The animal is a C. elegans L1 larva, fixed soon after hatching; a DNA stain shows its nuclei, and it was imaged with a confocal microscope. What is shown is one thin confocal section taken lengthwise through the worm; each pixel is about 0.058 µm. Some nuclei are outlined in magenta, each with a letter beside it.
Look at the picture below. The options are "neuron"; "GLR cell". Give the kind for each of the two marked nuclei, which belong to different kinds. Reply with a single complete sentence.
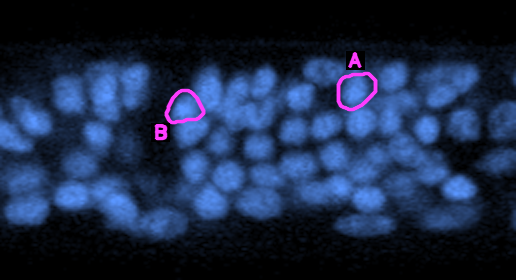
B belongs to a GLR cell, and A to a neuron.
